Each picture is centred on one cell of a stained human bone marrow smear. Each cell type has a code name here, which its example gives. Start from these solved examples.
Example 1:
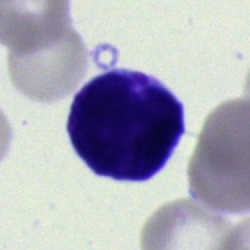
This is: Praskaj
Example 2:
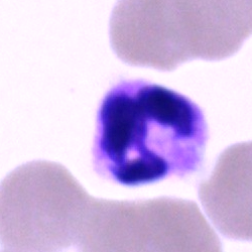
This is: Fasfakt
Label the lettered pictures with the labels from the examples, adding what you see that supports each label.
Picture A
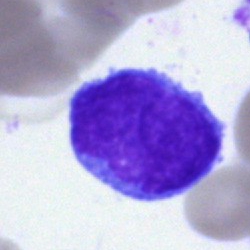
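Praskaj. Reason: The nucleus fills most of the cell.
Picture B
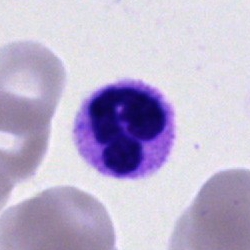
Fasfakt. Reason: The cytoplasm holds fine, evenly spread lilac granules.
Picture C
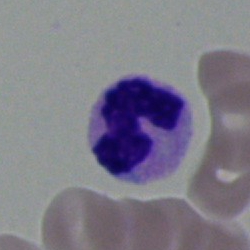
Fasfakt. Reason: The chromatin is dark purple and coarsely clumped.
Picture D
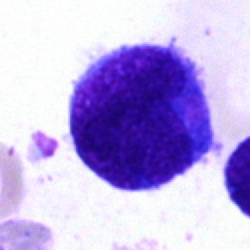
Praskaj. Reason: The nucleus fills most of the cell, leaving only scant cytoplasm.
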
